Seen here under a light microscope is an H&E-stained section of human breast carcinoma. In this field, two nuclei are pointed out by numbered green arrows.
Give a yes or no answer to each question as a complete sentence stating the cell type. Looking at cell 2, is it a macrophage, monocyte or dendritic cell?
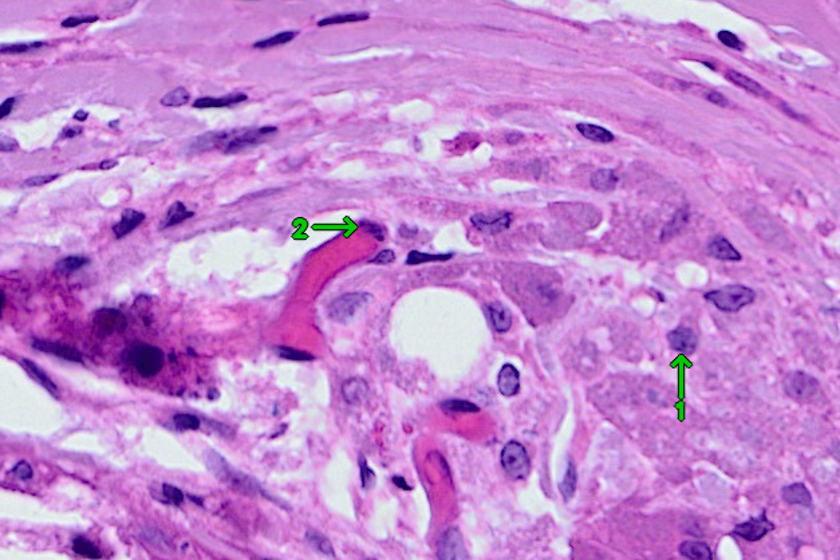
No, the cell tagged 2 is an endothelial cell, and not a macrophage, monocyte or dendritic cell.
